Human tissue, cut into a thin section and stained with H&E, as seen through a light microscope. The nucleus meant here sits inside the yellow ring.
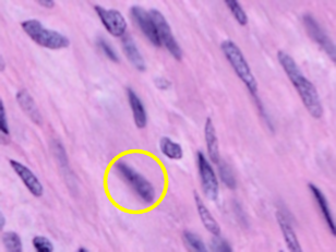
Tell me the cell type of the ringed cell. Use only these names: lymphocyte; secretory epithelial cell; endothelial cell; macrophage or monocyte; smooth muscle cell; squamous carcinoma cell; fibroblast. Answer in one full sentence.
Considered by cell type, the ringed cell is a fibroblast.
